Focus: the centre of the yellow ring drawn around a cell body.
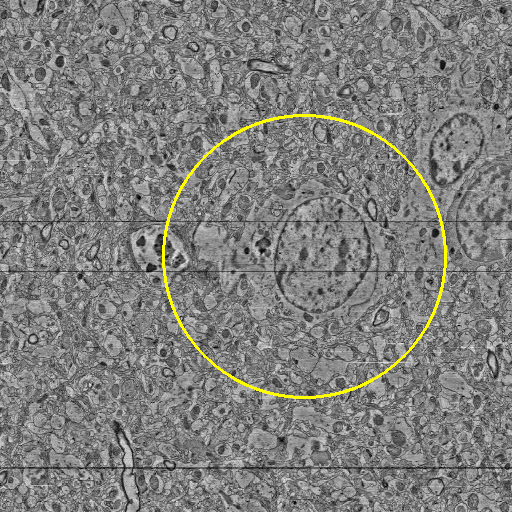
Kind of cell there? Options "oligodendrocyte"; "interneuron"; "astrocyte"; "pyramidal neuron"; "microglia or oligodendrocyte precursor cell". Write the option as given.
astrocyte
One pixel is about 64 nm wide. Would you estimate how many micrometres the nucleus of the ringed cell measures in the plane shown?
The ringed cell's nucleus is about 8 micrometres long and 6 micrometres wide in this plane.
